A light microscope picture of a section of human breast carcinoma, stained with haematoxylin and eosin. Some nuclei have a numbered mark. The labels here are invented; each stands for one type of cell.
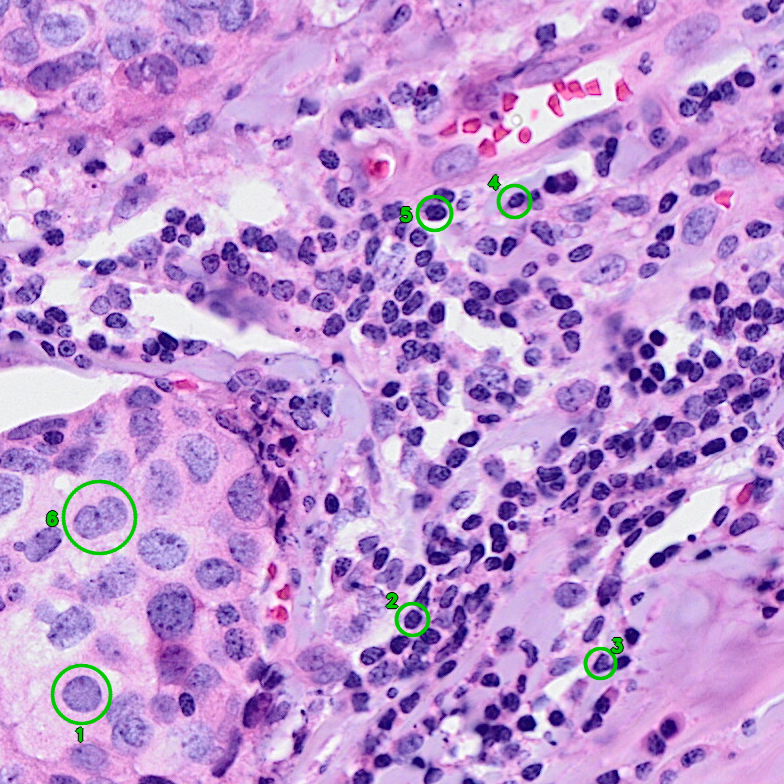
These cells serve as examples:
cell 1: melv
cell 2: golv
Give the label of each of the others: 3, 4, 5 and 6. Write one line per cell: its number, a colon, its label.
3: golv
4: golv
5: golv
6: melv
